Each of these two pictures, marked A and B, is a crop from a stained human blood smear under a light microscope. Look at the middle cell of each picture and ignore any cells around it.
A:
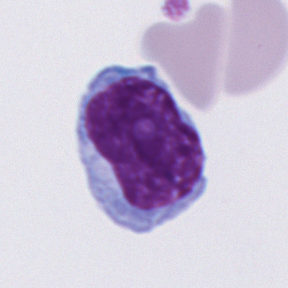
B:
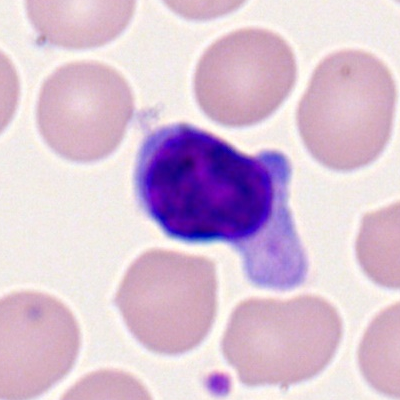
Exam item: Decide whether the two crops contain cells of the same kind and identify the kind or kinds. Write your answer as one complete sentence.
Yes, both crops show lymphocytes, and nothing else needs adding.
